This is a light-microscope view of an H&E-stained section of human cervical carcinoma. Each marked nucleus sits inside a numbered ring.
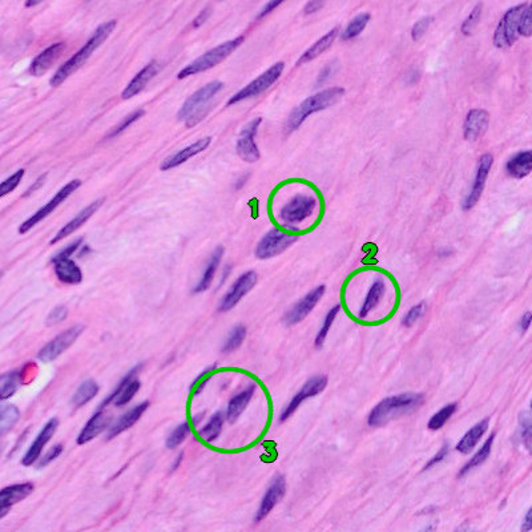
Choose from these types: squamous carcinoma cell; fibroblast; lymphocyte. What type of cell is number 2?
fibroblast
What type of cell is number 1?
lymphocyte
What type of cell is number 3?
fibroblast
